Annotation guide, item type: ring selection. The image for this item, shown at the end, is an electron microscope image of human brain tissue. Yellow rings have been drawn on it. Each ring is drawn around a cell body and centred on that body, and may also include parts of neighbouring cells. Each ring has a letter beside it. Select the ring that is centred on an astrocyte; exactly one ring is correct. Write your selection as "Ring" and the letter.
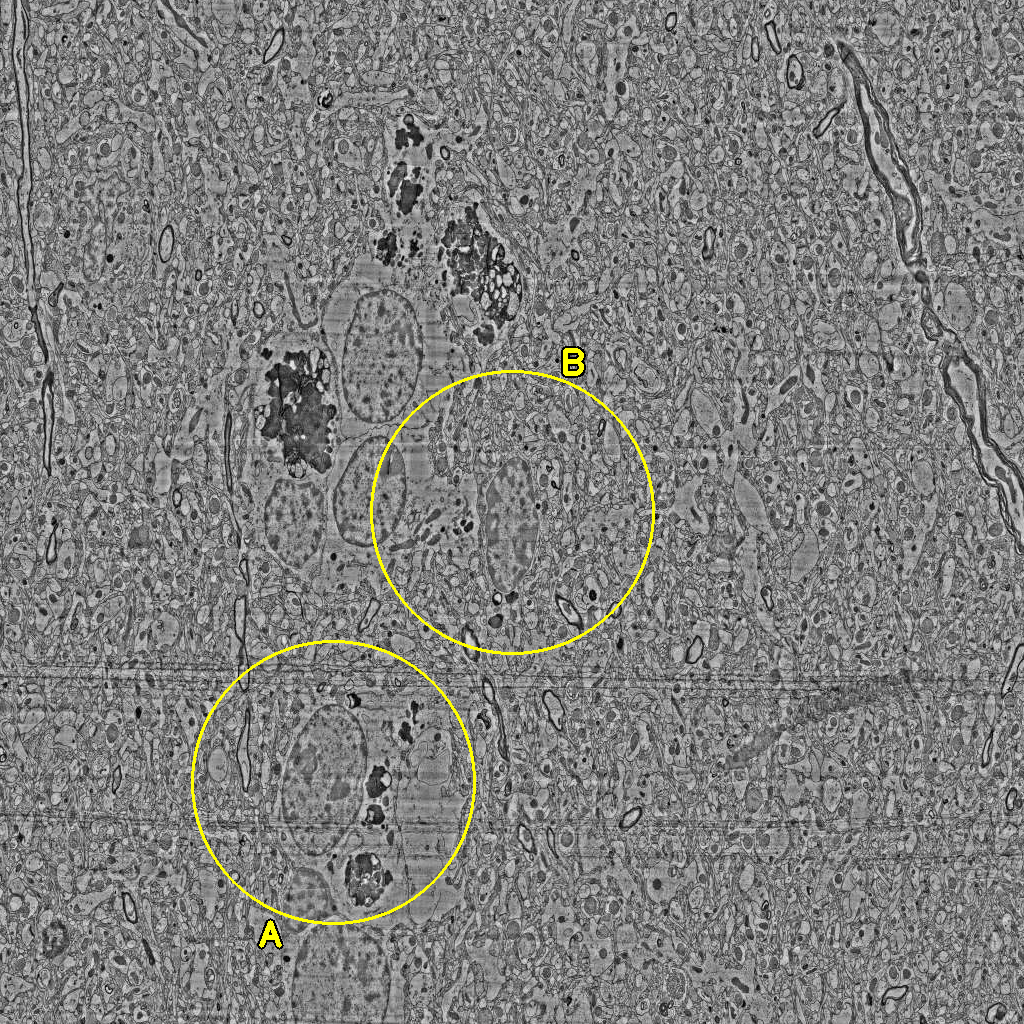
Ring A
